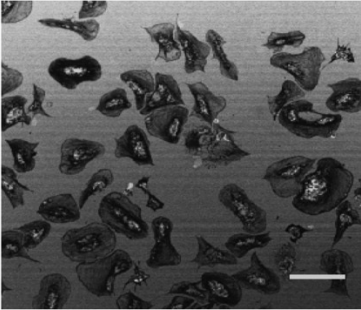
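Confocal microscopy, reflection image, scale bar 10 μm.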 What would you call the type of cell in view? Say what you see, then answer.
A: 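Many small, flat, anucleate-looking cells spread on the surface. Cells have irregular outlines with pointed projections and a granular bright centre. Cells are about the size of the 10 μm scale bar.
Platelets.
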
